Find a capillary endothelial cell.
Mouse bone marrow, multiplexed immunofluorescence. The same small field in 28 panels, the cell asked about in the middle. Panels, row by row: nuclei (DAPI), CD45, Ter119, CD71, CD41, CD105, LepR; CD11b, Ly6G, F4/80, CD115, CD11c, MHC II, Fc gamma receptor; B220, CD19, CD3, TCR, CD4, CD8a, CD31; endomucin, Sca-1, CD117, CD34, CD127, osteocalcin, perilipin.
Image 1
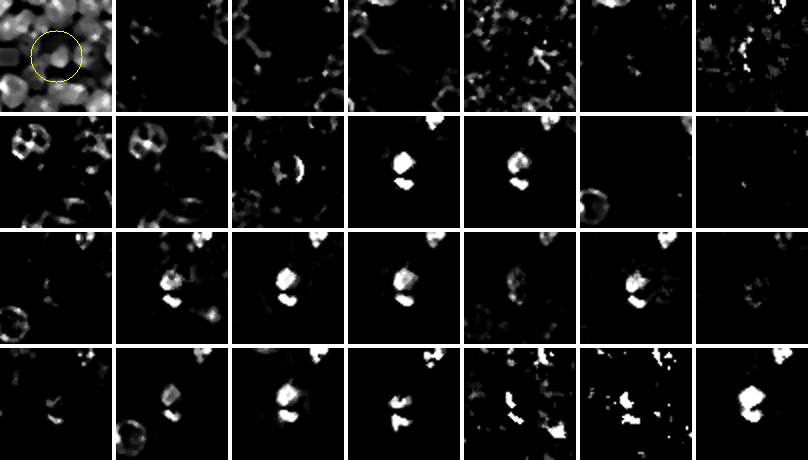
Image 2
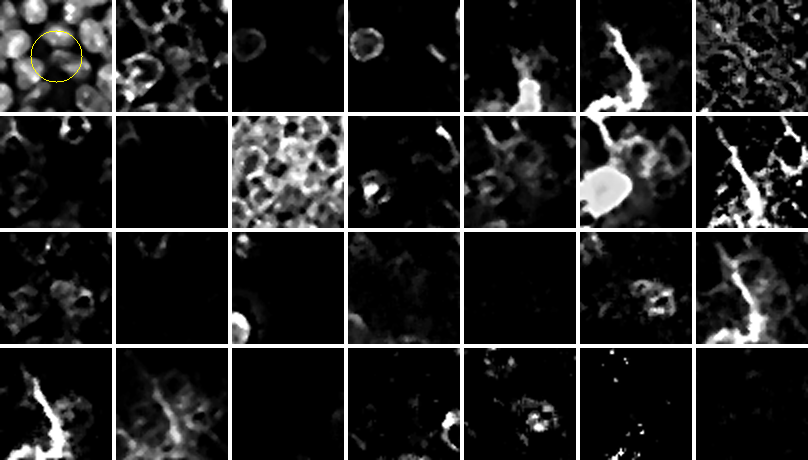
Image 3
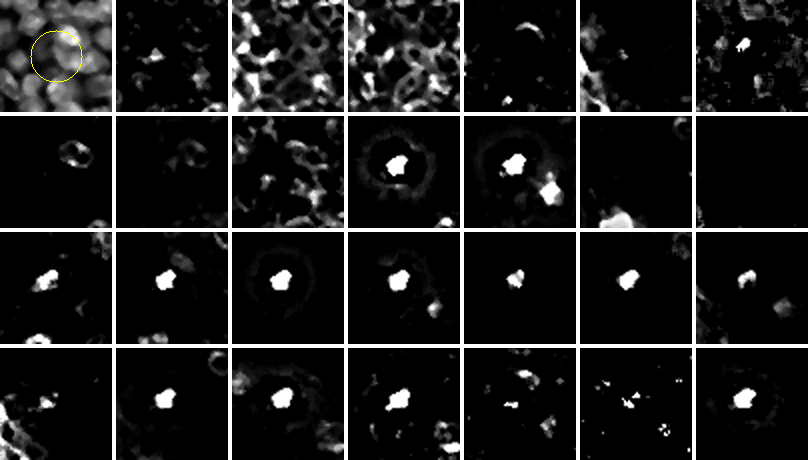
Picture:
2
